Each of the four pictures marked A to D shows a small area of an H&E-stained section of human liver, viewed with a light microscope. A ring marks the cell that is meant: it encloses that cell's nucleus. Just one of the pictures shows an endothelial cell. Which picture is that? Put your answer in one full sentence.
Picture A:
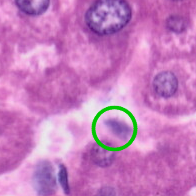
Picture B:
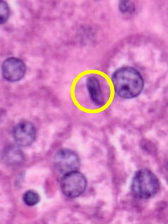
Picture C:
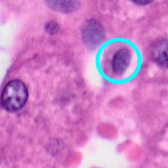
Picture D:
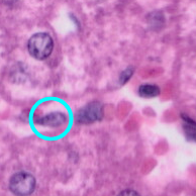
It is picture B that shows the endothelial cell.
